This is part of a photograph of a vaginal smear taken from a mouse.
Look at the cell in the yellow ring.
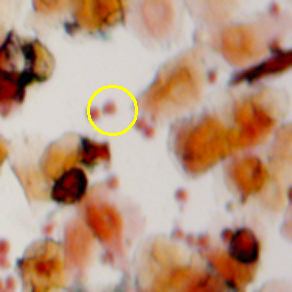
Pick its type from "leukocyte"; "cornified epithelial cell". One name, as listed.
leukocyte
